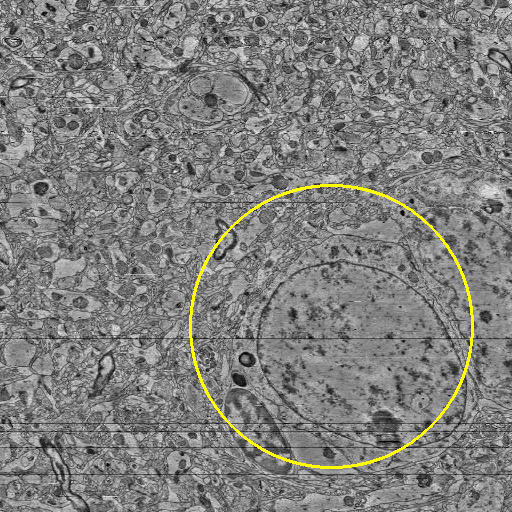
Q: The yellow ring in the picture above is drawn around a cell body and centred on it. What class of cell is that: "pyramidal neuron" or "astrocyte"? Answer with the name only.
pyramidal neuron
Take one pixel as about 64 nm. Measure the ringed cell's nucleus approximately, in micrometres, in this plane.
About 14 micrometres by about 11 micrometres in this plane.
